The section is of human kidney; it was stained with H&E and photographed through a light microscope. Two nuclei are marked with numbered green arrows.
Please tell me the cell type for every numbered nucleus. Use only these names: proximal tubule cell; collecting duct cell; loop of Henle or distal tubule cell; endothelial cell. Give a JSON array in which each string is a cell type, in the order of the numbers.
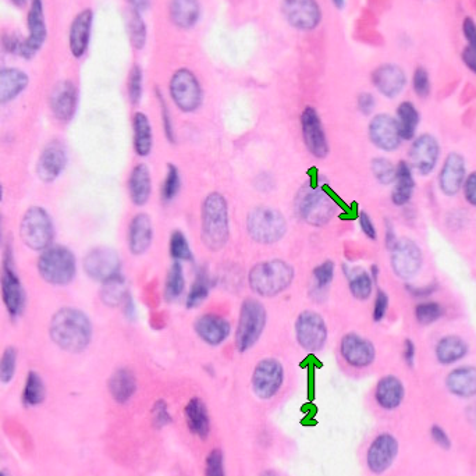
["endothelial cell", "loop of Henle or distal tubule cell"]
